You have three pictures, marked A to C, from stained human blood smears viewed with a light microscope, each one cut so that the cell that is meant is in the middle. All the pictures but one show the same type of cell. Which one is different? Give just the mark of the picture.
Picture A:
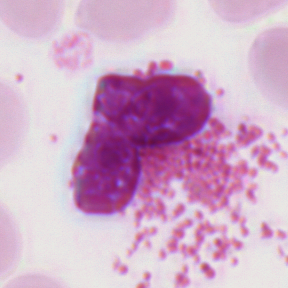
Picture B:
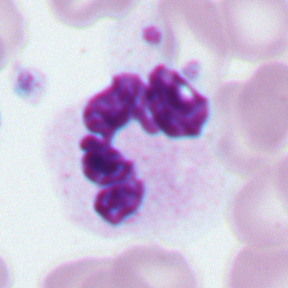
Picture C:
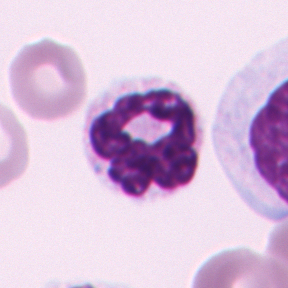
A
